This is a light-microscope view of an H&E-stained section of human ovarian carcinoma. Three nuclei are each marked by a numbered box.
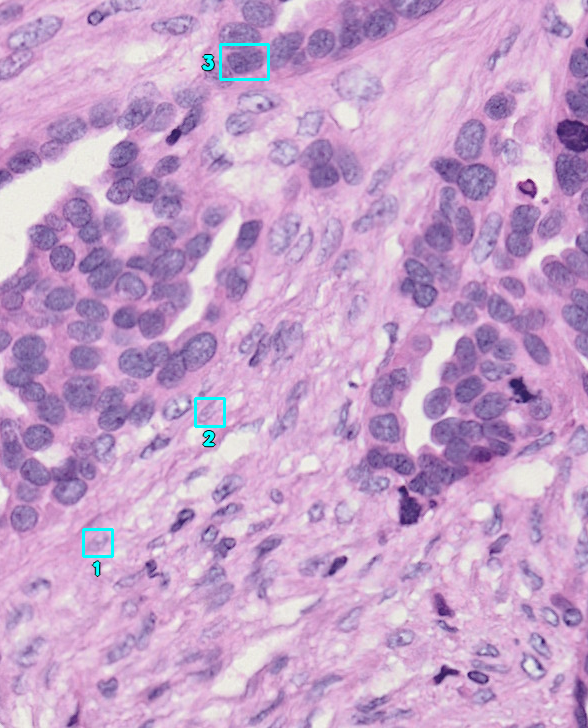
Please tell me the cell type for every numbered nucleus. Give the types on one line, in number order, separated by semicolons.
fibroblast; fibroblast; carcinoma cell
